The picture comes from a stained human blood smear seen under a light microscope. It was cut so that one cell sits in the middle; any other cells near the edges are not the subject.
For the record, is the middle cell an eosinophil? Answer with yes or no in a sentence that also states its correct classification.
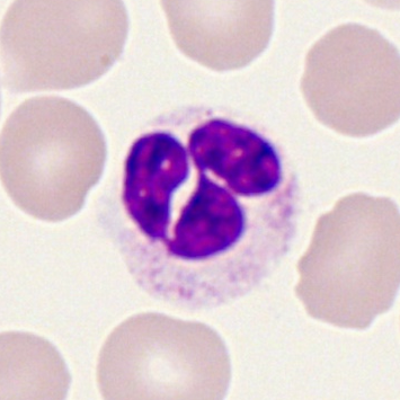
No, the cell in the middle is recognised as a segmented neutrophil rather than an eosinophil.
